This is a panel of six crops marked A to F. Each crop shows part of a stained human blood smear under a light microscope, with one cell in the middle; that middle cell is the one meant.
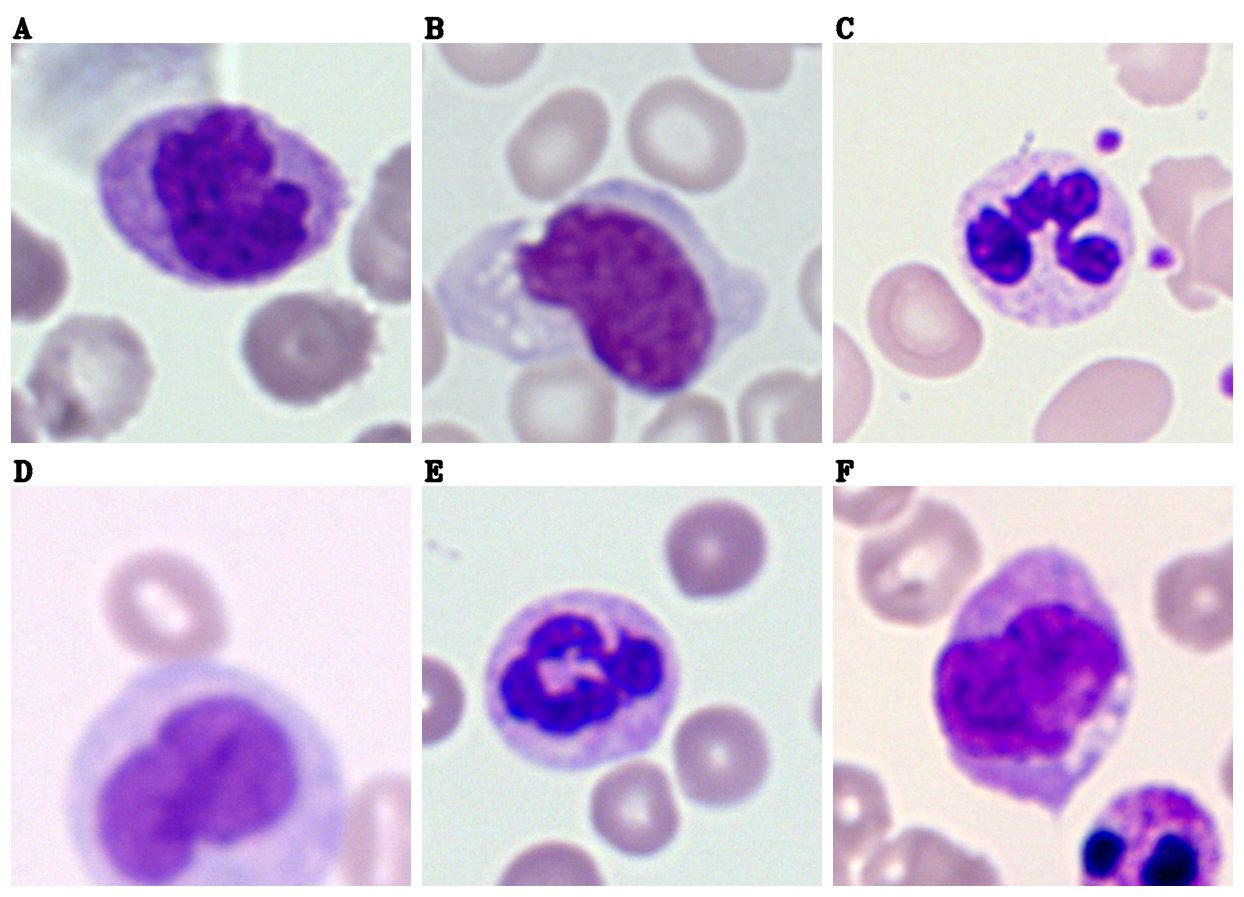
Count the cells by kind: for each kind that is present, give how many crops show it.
monocyte: 4
neutrophil: 2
